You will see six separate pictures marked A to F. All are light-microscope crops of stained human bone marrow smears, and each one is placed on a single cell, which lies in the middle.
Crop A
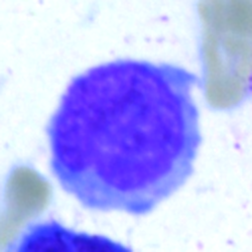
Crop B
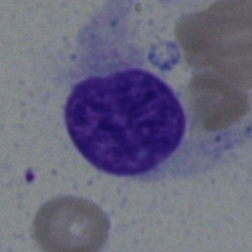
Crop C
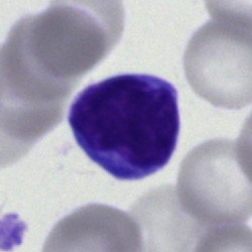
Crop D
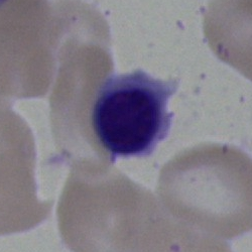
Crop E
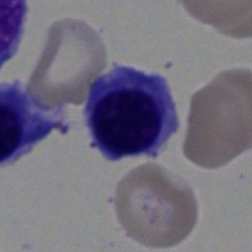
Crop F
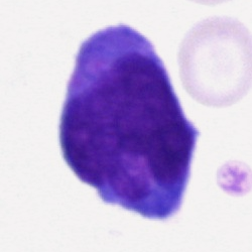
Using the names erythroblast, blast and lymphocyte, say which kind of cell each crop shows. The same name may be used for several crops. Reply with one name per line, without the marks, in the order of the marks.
blast
lymphocyte
blast
erythroblast
erythroblast
blast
